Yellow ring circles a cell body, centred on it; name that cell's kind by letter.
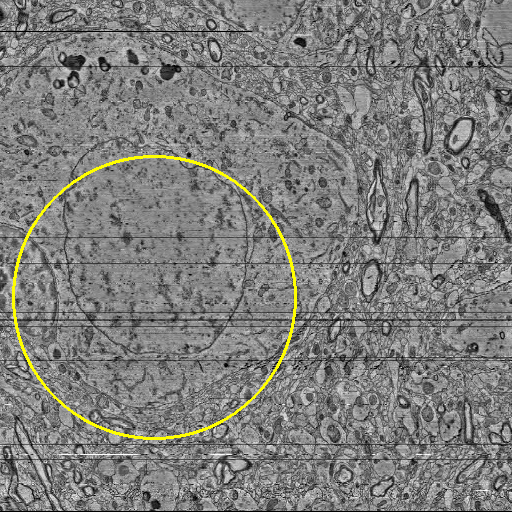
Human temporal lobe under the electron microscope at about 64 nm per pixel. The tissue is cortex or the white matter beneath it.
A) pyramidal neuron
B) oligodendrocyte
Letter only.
A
